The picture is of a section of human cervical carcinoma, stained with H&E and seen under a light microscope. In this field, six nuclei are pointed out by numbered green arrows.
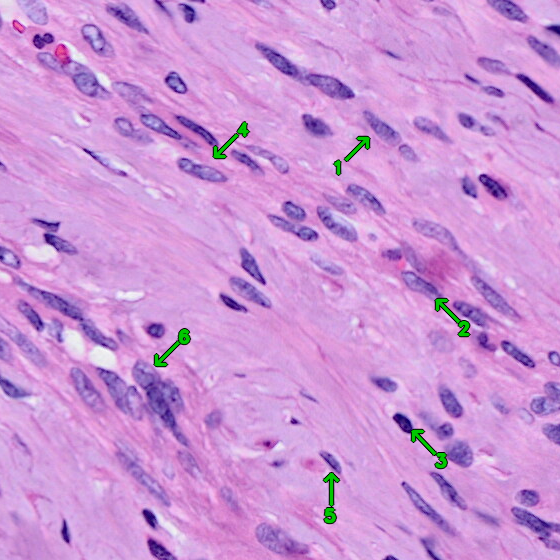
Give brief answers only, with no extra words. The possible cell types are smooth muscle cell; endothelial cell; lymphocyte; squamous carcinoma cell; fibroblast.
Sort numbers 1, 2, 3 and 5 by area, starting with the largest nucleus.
2, 1, 3, 5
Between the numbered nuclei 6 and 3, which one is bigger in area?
6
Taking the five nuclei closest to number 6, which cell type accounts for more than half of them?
endothelial cell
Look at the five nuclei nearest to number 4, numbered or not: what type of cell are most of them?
endothelial cell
